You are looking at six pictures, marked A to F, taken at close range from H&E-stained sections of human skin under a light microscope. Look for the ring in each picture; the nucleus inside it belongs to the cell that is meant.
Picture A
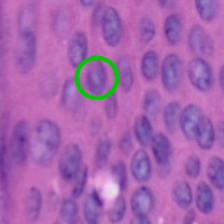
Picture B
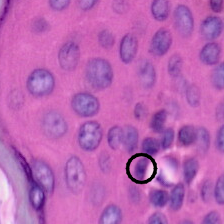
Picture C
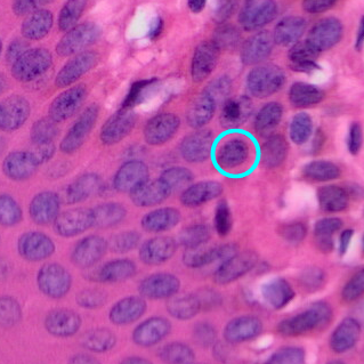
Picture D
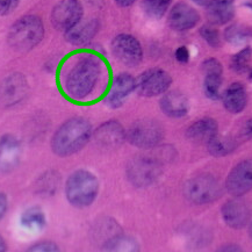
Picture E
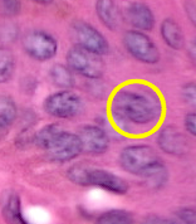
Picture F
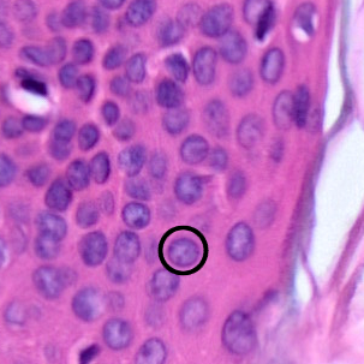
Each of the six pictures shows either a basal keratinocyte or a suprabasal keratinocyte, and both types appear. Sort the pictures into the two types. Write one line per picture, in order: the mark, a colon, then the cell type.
A: suprabasal keratinocyte
B: basal keratinocyte
C: basal keratinocyte
D: suprabasal keratinocyte
E: suprabasal keratinocyte
F: suprabasal keratinocyte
